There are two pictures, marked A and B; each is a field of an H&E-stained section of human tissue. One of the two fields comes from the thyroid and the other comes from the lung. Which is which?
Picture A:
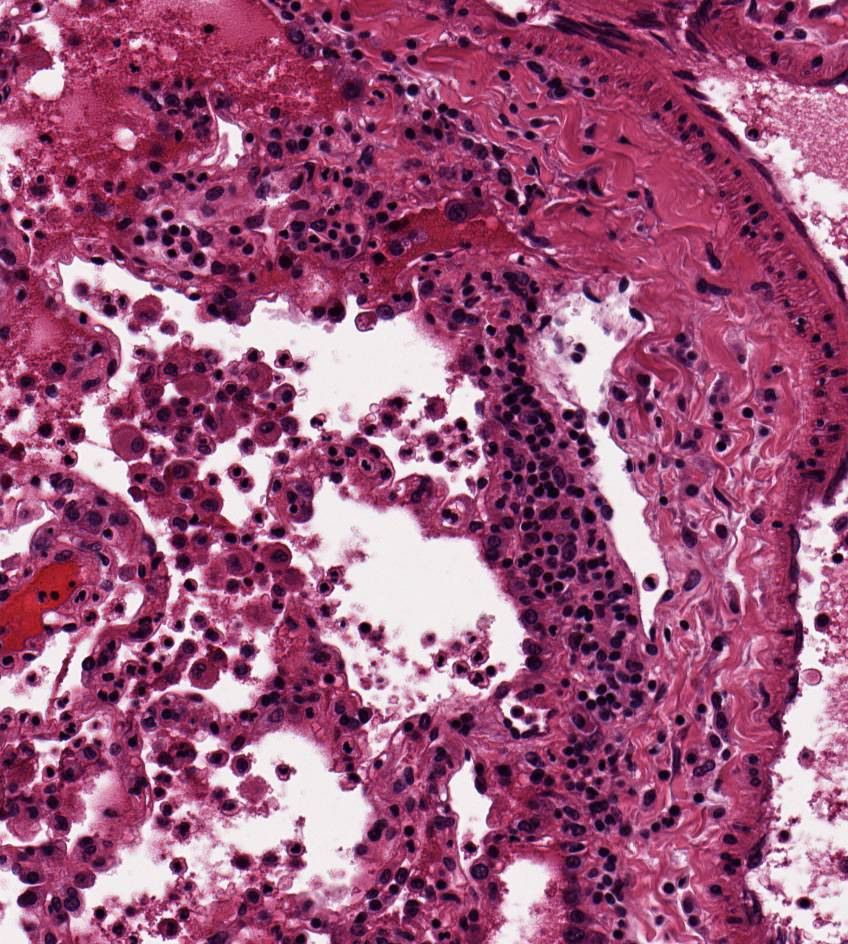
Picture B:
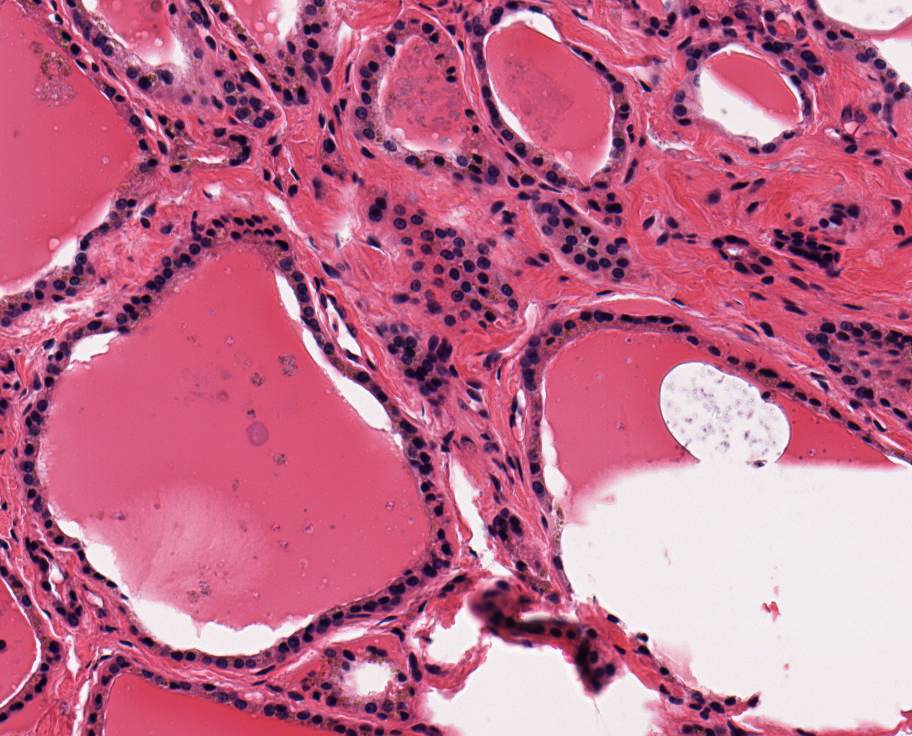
A: lung
B: thyroid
